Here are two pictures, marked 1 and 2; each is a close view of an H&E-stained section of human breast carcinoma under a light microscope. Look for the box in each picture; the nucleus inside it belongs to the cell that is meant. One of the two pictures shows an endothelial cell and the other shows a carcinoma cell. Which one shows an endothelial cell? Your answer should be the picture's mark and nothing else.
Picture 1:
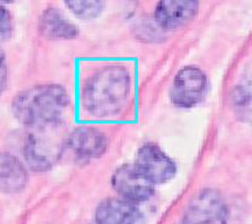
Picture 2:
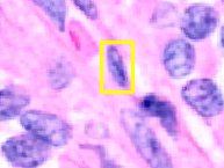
2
